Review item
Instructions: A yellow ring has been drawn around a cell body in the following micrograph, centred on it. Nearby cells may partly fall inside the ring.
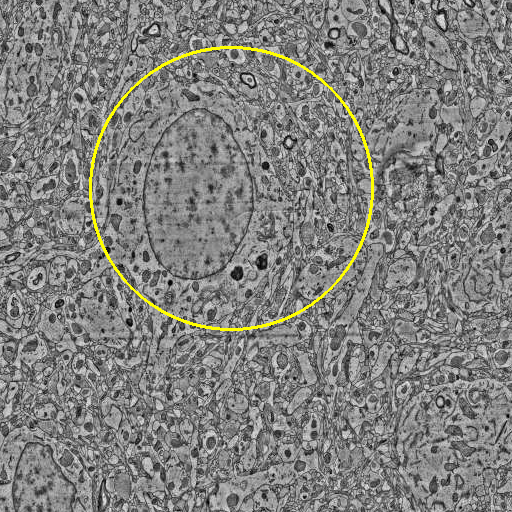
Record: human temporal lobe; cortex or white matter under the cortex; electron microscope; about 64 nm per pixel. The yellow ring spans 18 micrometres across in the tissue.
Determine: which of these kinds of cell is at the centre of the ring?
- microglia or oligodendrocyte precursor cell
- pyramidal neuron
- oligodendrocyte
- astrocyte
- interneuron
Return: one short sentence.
The cell body in the middle of the ring is that of a pyramidal neuron.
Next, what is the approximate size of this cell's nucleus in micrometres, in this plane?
In this plane the nucleus is clearly longer than it is wide: roughly 11 by 7 micrometres.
